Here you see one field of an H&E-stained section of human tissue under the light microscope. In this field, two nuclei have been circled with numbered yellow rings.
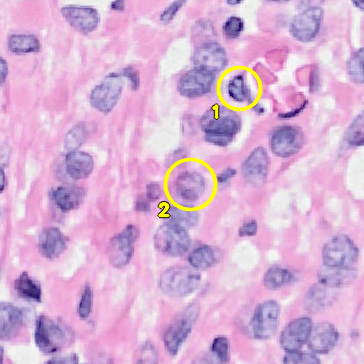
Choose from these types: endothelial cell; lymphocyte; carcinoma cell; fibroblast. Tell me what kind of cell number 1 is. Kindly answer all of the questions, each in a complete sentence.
The cell that carries the label 1 is an endothelial cell.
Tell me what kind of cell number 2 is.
To a carcinoma cell belongs the nucleus marked 2.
